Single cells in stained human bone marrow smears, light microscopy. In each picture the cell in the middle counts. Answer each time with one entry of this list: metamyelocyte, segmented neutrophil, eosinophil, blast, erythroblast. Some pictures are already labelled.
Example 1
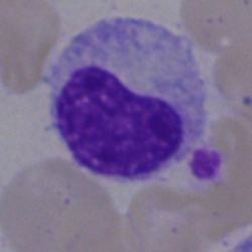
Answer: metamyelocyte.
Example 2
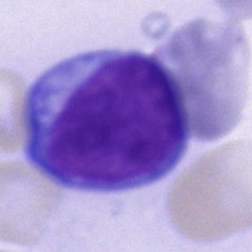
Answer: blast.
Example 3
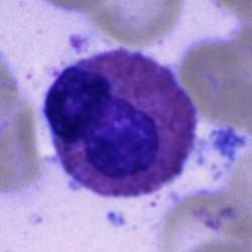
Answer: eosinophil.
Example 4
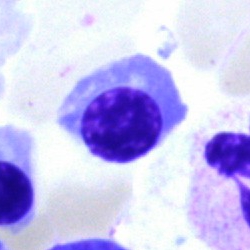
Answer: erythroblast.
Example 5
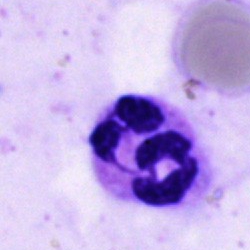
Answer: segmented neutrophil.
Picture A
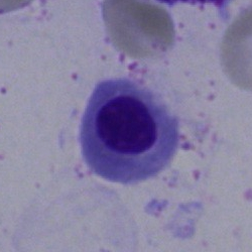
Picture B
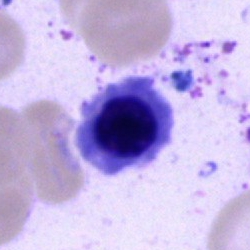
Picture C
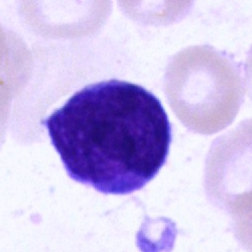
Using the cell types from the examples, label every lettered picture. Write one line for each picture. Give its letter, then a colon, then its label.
A: erythroblast.
B: erythroblast.
C: blast.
